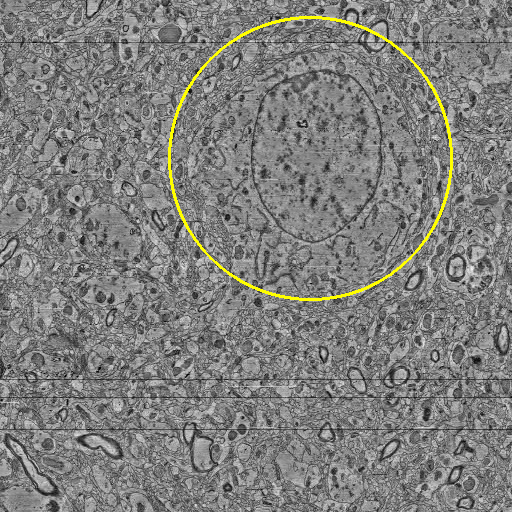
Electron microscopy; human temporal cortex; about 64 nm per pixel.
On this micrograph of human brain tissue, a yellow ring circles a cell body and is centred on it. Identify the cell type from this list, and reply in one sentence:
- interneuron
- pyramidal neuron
The cell at the centre is a pyramidal neuron.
